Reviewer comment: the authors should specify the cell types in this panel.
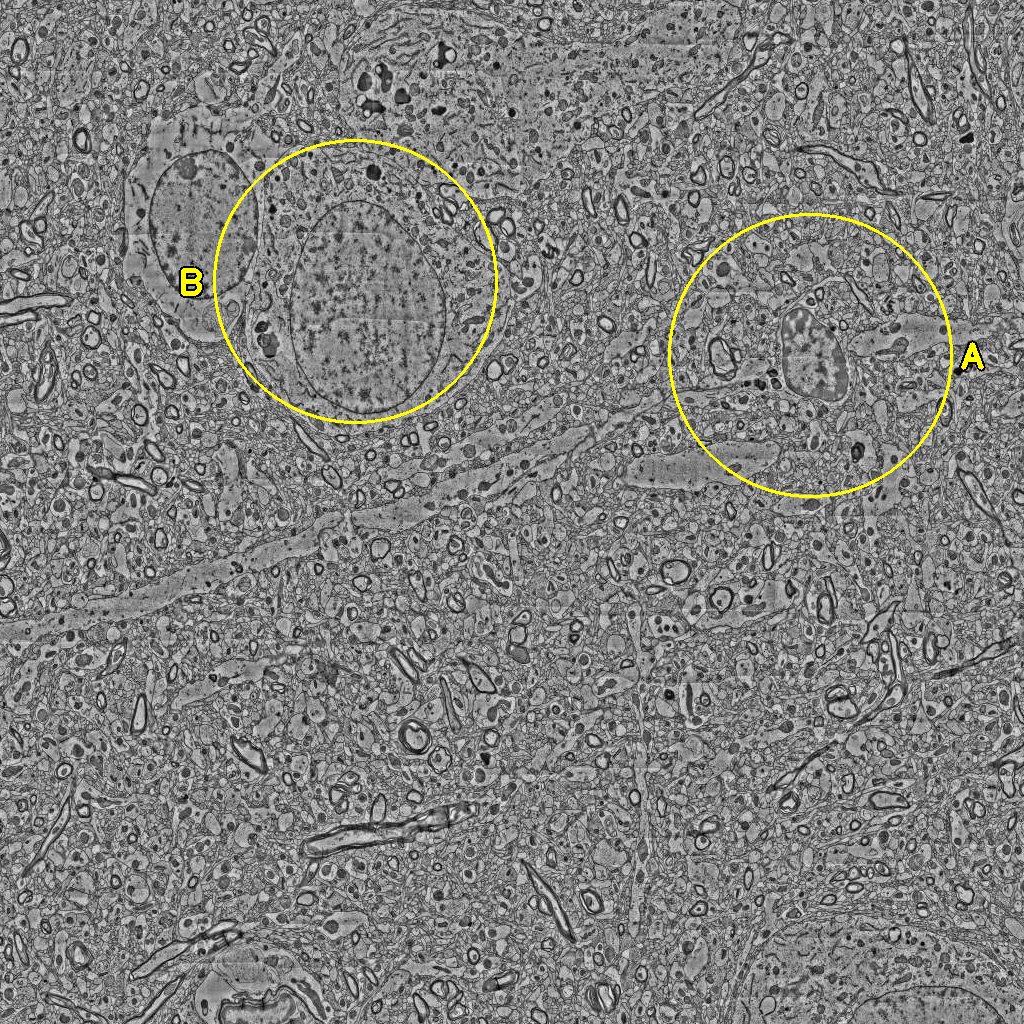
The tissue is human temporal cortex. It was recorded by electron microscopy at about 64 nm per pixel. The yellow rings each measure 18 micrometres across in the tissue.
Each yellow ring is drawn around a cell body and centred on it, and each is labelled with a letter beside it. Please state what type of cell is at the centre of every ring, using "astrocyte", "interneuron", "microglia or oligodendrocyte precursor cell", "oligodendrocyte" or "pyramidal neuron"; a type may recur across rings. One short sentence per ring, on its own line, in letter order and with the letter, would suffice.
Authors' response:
The cell centred within ring A is a microglial cell or oligodendrocyte precursor cell.
The cell centred within ring B is a pyramidal neuron.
